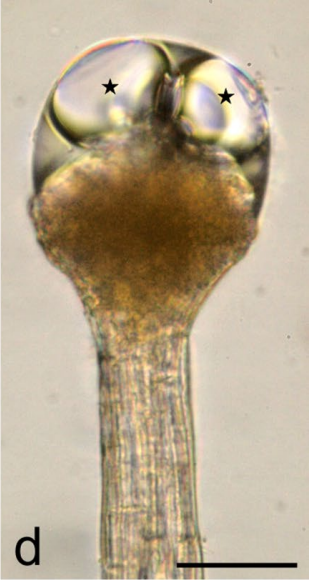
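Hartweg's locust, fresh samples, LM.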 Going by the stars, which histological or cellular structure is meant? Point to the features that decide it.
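Two clear rounded pockets lie at the top of the head above the brown cells. A thin outer layer encloses both the pockets and the head. That points to this answer: subcuticular spaces.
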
